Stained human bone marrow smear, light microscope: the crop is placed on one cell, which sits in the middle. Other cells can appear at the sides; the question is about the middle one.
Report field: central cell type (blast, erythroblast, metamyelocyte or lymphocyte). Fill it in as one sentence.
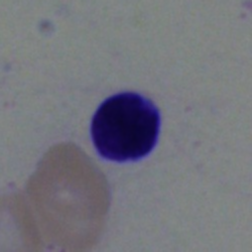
Where the crop is centred, there is a lymphocyte.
